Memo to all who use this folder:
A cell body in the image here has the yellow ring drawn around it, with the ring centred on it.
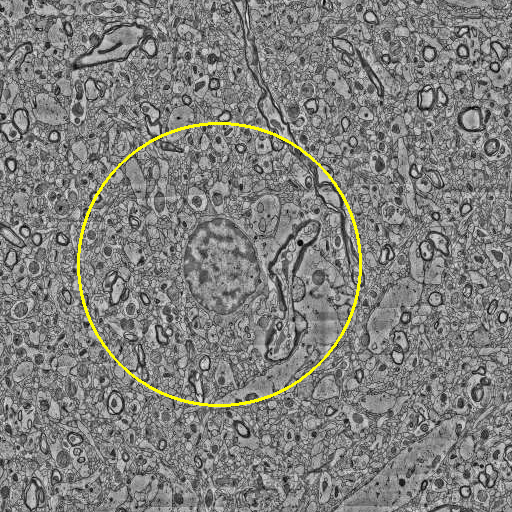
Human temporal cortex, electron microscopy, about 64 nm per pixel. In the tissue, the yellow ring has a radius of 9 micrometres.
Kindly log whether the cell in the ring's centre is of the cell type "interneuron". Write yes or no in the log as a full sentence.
No, logged: the ring in this image is centred on a cell of a different type.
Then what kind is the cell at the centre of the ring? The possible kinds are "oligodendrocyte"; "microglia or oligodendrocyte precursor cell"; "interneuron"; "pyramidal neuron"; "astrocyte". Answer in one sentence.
The cell this ring marks is an oligodendrocyte.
